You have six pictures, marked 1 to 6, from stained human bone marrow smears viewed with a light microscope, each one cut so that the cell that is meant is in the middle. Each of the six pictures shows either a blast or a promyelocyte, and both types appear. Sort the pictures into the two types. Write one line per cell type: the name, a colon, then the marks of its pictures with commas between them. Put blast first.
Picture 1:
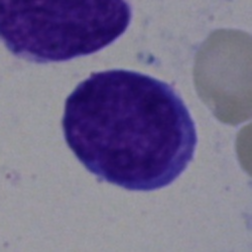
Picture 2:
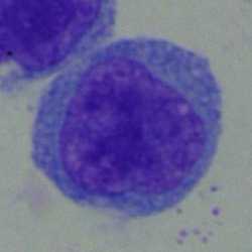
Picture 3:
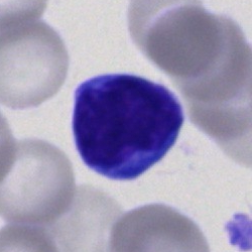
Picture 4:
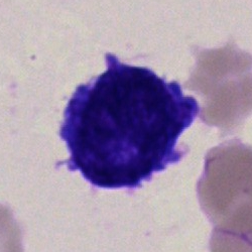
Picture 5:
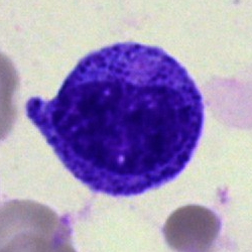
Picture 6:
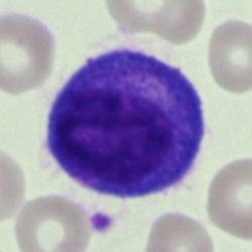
blast: 1, 2, 3, 4
promyelocyte: 5, 6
